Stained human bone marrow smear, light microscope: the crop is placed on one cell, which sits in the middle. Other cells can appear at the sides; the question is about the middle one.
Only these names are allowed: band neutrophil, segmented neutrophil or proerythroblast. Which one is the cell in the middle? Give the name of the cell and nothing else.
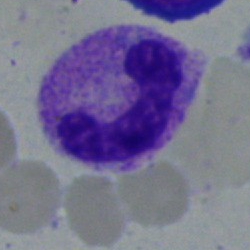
band neutrophil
